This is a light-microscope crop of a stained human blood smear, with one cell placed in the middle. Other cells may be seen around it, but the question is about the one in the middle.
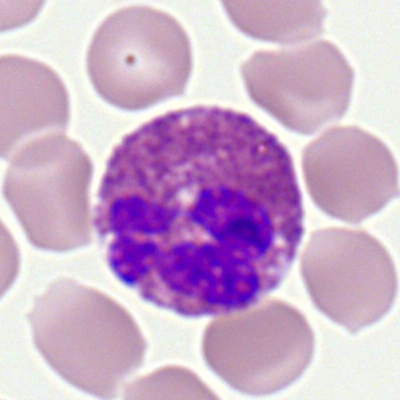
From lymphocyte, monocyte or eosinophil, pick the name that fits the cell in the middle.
eosinophil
